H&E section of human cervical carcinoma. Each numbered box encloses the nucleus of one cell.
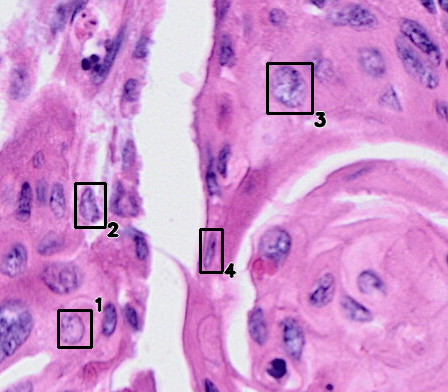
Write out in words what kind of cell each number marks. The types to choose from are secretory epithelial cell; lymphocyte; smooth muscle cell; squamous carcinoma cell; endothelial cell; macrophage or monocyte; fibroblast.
Cells 1, 3 and 4 are squamous carcinoma cells. Cell 2 is a macrophage or monocyte.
